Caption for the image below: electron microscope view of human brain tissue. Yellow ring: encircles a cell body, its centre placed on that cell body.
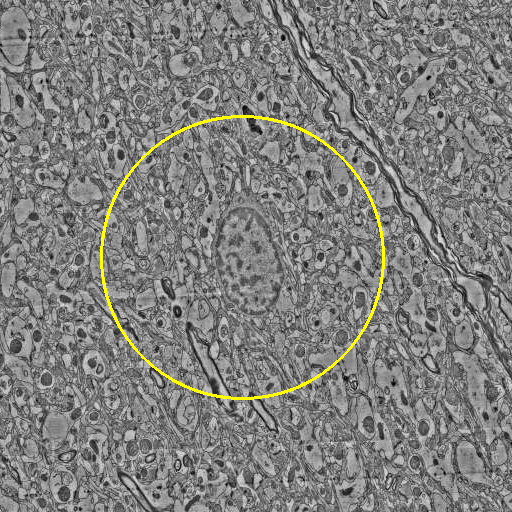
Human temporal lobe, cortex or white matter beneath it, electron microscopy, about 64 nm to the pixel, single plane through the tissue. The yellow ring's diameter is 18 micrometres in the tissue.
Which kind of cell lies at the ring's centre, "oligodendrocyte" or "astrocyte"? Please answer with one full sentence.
The picture shows an oligodendrocyte at the centre of the yellow ring.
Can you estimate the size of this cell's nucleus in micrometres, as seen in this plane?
The nucleus is about 7 micrometres in length and 4 in width, clearly longer than it is wide in this plane.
